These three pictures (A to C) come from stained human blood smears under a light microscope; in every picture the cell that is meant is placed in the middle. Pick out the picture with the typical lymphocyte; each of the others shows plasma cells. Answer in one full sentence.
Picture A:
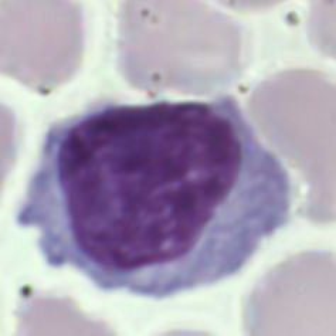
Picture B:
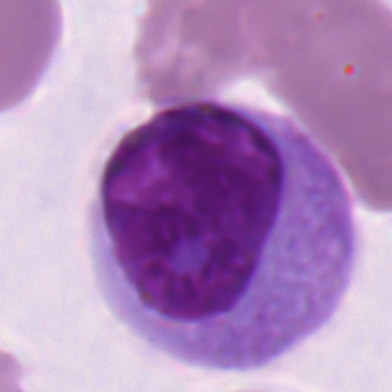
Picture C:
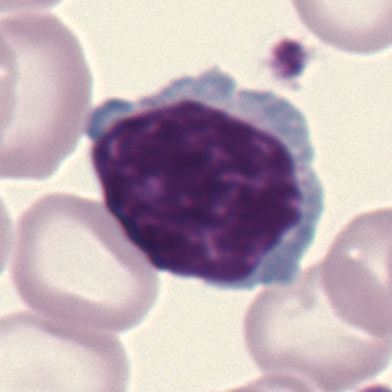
The picture with the typical lymphocyte is C.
